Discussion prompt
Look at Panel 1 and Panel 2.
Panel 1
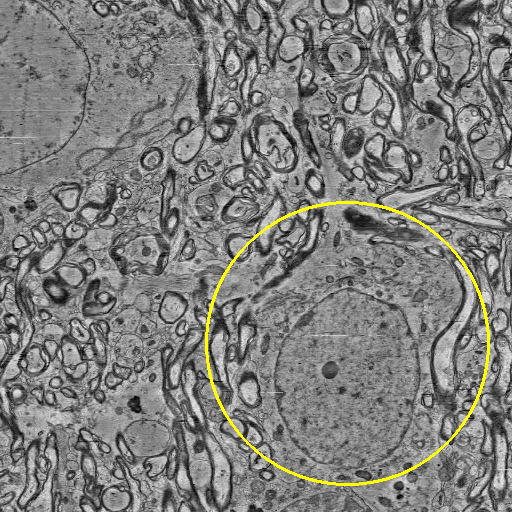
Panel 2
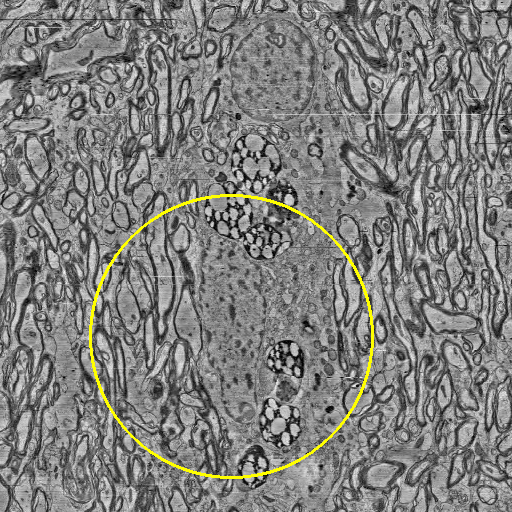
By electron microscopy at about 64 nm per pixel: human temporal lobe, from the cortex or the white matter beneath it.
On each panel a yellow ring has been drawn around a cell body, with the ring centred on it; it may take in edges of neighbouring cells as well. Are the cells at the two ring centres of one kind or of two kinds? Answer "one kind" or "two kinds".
one kind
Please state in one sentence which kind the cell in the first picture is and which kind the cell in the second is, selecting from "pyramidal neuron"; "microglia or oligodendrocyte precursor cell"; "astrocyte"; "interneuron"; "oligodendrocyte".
Each cell at the centre of a ring is an astrocyte.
